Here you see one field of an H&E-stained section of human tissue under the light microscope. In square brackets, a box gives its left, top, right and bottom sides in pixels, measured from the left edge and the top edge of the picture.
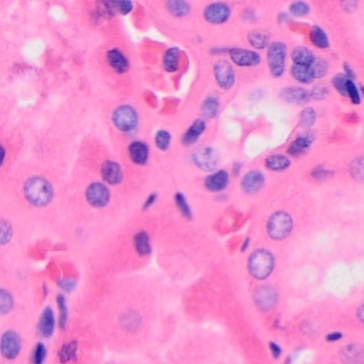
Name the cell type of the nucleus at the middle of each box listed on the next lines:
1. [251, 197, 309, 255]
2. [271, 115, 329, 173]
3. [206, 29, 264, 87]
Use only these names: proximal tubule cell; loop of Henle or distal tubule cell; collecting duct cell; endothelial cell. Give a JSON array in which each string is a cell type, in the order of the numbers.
["proximal tubule cell", "collecting duct cell", "collecting duct cell"]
